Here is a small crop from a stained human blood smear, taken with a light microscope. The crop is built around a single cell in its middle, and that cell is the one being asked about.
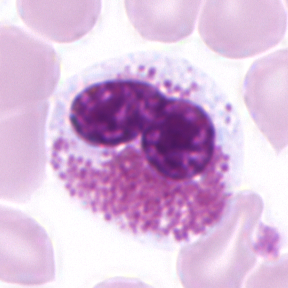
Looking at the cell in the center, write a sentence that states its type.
The centrally positioned cell in the crop represents an eosinophil.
